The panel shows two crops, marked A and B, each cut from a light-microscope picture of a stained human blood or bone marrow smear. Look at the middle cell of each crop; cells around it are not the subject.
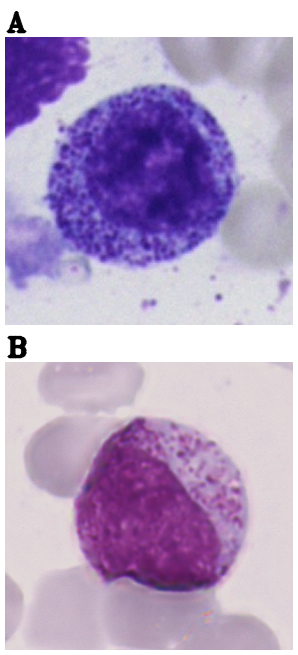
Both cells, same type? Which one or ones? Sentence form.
Yes, both crops show myelocytes as their central cells.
